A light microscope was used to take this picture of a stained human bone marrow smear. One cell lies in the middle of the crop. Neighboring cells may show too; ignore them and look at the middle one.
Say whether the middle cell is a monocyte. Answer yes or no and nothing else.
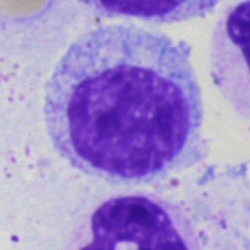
no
